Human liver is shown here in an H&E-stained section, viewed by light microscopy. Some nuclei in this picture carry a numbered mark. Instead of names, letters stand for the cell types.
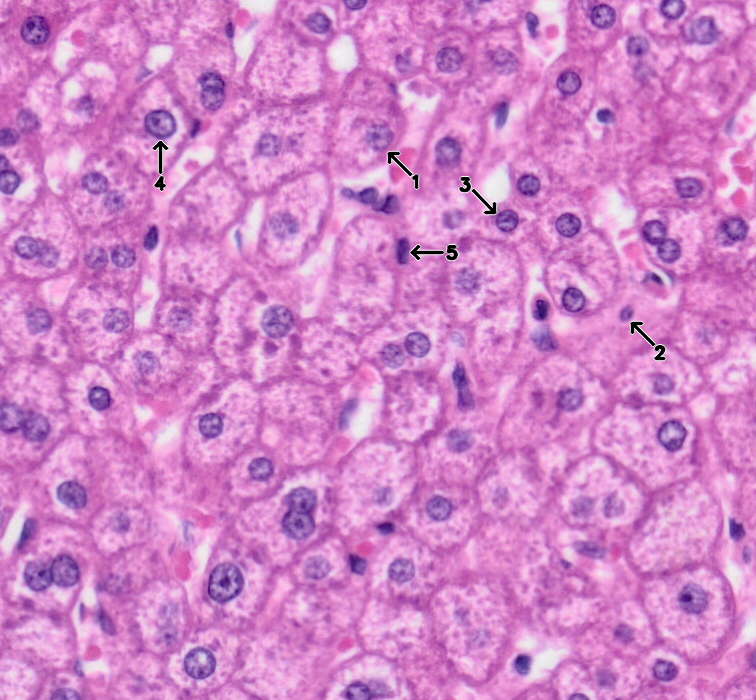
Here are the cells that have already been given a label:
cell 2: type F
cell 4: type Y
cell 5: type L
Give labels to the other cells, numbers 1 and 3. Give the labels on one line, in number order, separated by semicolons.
type Y; type Y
